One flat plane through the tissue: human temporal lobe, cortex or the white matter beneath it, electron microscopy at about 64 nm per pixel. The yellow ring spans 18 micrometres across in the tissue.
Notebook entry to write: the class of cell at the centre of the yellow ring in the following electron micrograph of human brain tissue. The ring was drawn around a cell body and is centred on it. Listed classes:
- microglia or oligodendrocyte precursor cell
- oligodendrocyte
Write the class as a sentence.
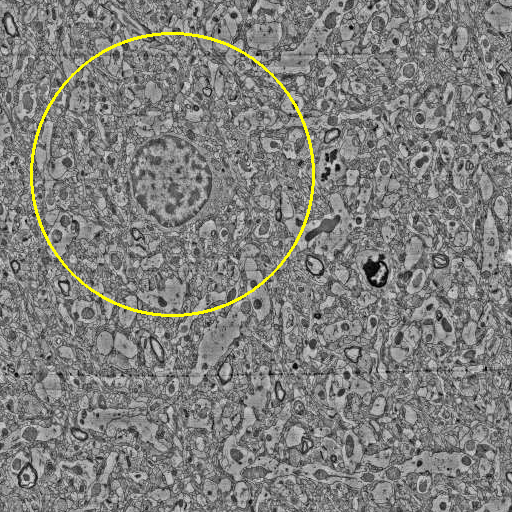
The yellow ring sits on an oligodendrocyte.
